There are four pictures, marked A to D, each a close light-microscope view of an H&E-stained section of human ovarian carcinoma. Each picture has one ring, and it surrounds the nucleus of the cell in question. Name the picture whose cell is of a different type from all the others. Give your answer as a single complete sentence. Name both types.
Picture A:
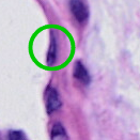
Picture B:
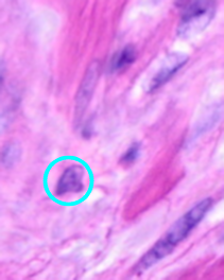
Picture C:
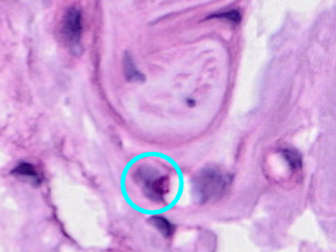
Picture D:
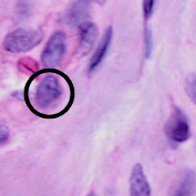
All pictures except B show endothelial cells; picture B shows a “macrophage or monocyte”.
